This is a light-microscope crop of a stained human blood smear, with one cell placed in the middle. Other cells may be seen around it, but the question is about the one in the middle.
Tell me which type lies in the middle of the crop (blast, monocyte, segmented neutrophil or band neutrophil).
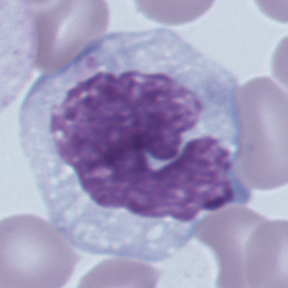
monocyte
